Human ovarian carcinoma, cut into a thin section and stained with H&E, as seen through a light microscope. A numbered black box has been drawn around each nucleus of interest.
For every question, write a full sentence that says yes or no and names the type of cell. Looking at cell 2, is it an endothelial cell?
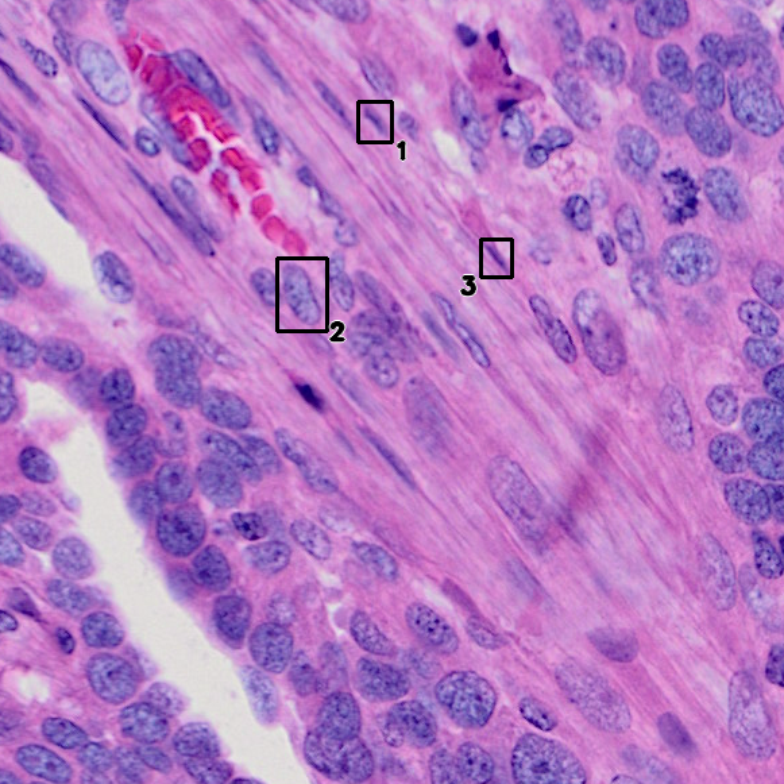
Yes, number 2 in this section denotes an endothelial cell.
